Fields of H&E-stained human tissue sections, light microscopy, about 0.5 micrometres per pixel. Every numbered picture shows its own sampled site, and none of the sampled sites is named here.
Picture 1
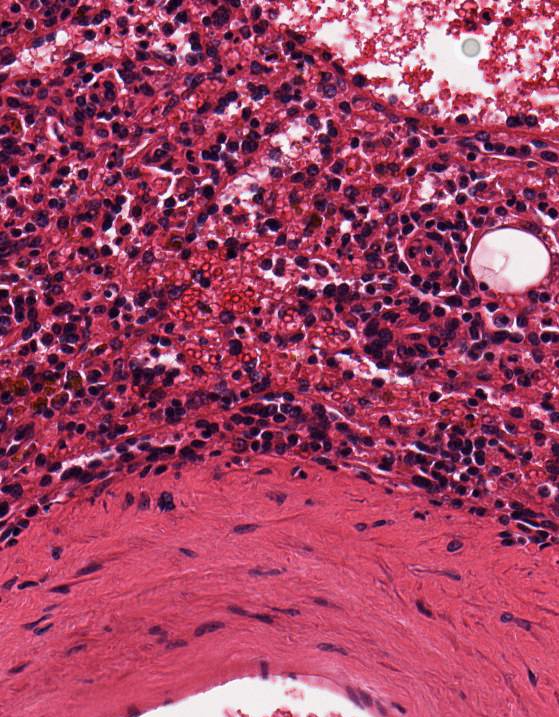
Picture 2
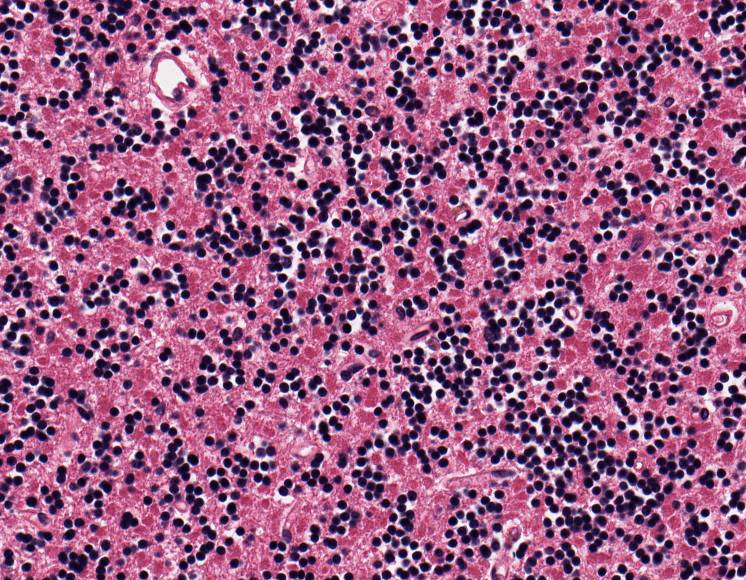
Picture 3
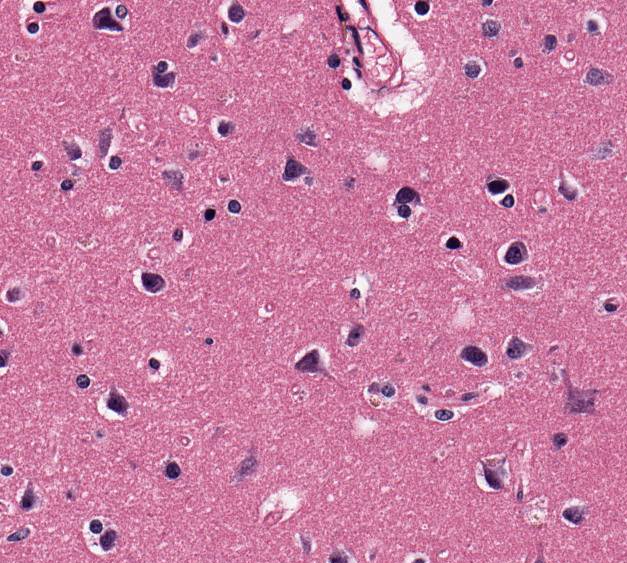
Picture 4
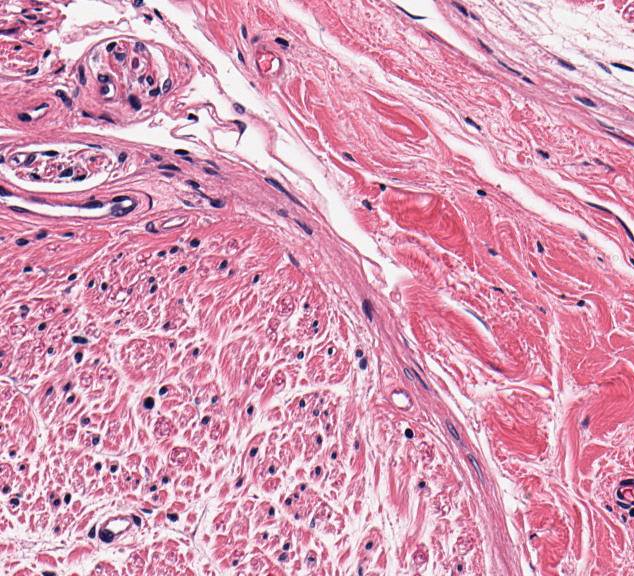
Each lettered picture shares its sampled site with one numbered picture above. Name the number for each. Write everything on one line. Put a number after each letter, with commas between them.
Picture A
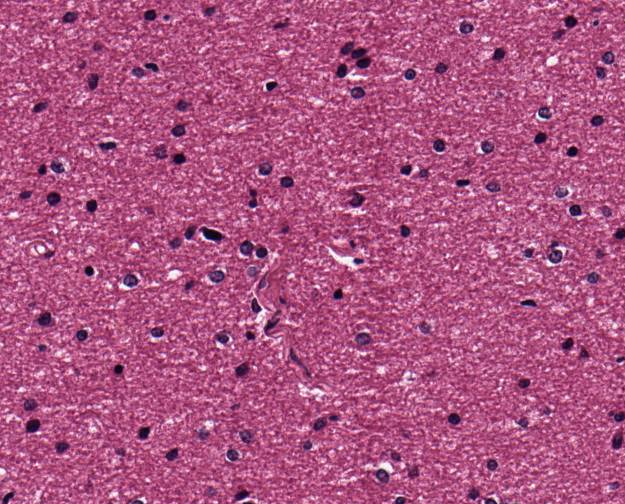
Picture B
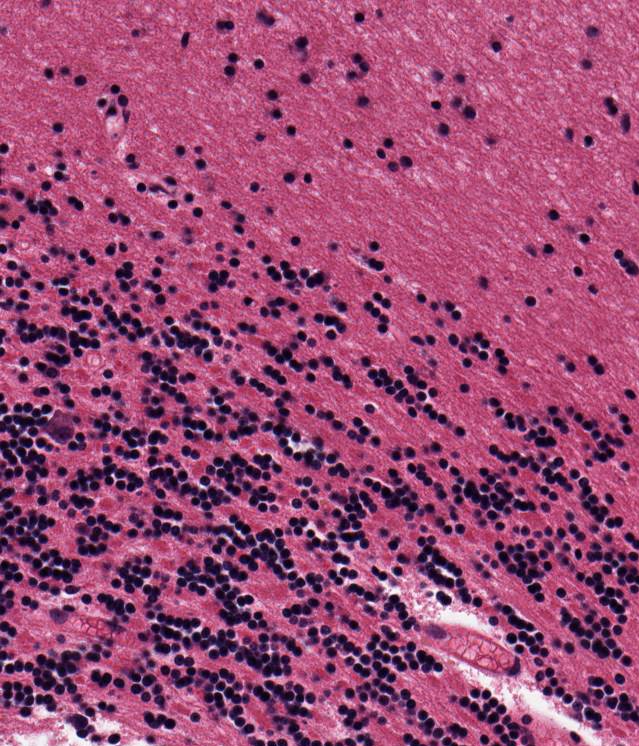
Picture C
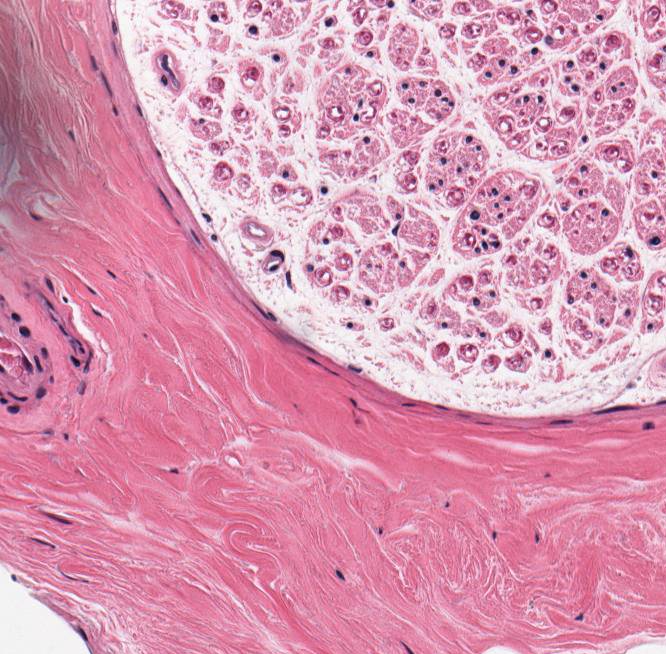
A 3, B 2, C 4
